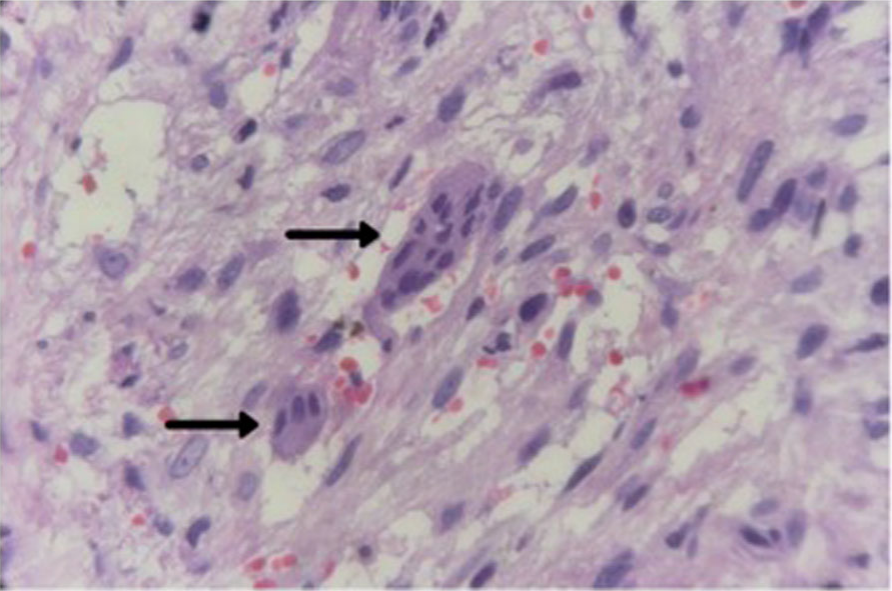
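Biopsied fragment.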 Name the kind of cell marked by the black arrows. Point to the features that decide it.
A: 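Each arrow points to a large cell containing several nuclei. The nuclei within each of these cells are clustered in a shared pale purple cytoplasm. These cells are much larger than the surrounding single-nucleated cells. The answer: multinucleated giant cells.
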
